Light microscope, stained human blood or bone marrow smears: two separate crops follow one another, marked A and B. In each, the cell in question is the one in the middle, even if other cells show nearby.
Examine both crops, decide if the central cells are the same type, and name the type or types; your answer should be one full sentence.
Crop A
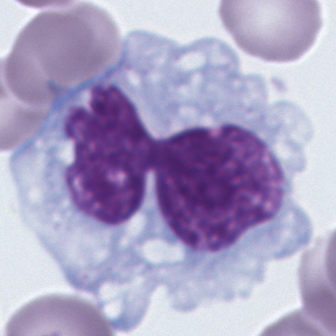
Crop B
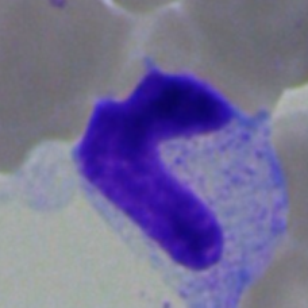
No, in crop B the central cell is a band neutrophil, and in crop A it is a monocyte.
